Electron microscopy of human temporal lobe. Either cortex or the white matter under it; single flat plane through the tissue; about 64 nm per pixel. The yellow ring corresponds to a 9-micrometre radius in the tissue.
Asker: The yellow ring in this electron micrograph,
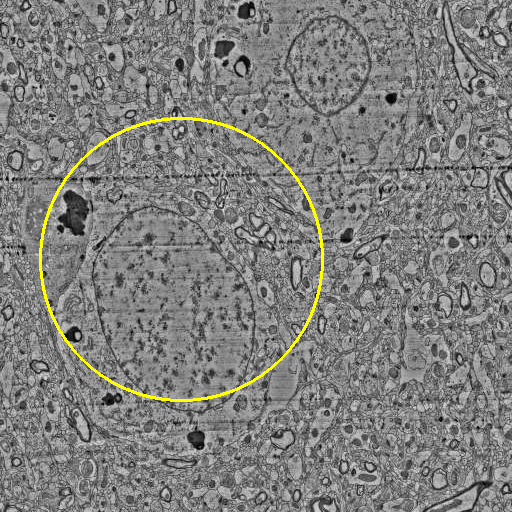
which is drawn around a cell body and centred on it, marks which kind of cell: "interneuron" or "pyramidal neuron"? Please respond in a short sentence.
The marked cell is a pyramidal neuron.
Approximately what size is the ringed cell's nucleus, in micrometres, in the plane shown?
About 14 by 10 micrometres in this plane.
